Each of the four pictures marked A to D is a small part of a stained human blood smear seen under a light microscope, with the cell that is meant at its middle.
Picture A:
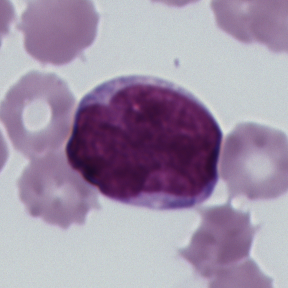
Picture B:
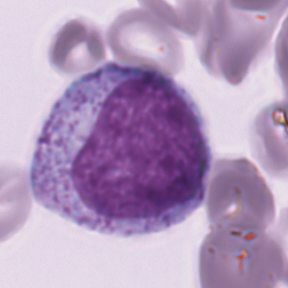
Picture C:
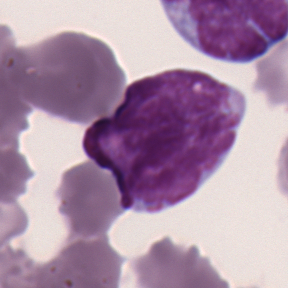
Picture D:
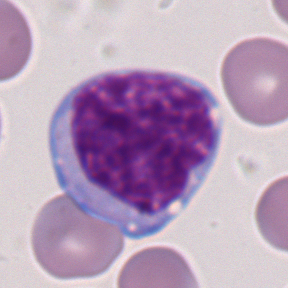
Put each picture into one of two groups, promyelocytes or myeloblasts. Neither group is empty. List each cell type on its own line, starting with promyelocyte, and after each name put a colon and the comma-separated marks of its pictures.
promyelocyte: B
myeloblast: A, C, D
